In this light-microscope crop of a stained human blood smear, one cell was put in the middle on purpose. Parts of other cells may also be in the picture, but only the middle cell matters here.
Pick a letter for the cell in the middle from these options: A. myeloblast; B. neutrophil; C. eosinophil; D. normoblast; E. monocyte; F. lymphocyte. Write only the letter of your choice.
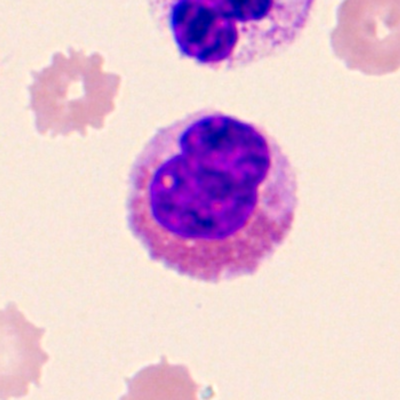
C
